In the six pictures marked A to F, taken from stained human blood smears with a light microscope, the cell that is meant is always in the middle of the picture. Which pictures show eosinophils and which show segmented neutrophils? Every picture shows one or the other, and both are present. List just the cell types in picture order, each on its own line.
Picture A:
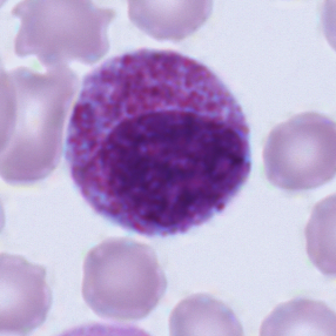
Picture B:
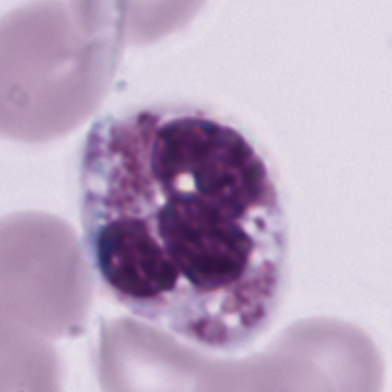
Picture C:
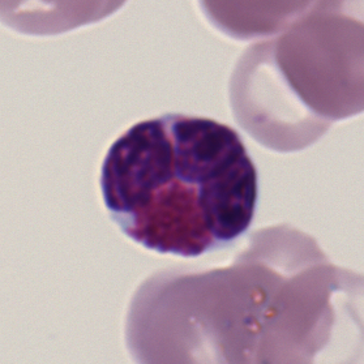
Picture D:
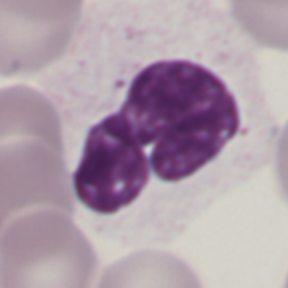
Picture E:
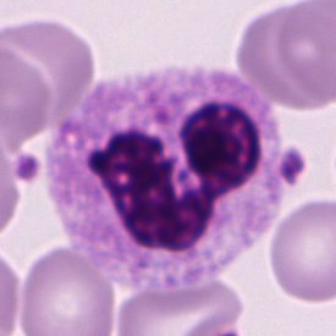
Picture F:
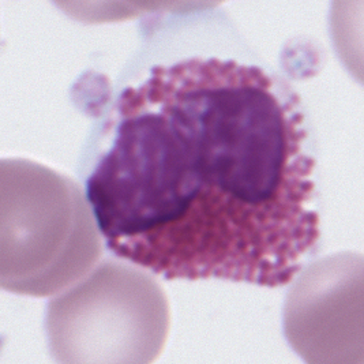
eosinophil
eosinophil
eosinophil
segmented neutrophil
segmented neutrophil
eosinophil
